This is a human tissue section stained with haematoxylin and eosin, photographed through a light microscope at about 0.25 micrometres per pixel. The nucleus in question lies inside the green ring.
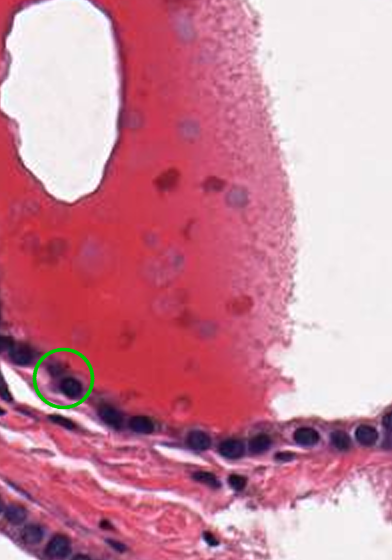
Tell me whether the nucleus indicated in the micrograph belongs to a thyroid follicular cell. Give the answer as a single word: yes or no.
yes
